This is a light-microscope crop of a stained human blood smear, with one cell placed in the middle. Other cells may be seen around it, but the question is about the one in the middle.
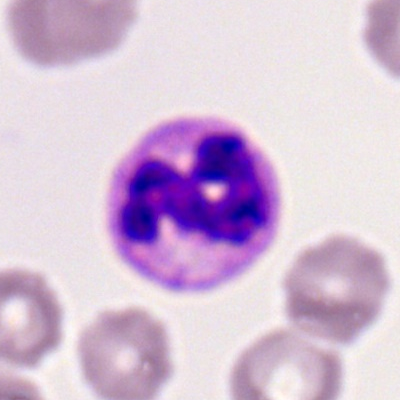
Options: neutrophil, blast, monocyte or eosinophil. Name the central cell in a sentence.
Located at the centre of the crop is a neutrophil.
